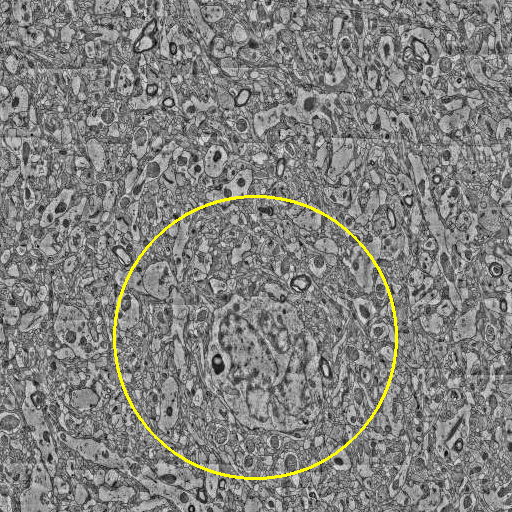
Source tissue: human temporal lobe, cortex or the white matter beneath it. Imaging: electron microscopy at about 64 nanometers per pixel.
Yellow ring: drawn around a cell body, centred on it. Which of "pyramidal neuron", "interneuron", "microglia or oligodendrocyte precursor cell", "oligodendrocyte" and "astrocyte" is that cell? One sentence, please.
That cell body is from an interneuron.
